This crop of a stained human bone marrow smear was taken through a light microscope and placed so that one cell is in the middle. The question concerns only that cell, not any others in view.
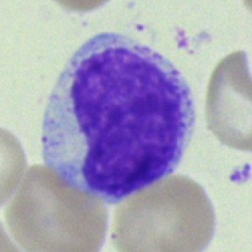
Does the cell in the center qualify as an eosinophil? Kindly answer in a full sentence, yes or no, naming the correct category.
No, the identification should read a myelocyte, not an eosinophil, for the central cell.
